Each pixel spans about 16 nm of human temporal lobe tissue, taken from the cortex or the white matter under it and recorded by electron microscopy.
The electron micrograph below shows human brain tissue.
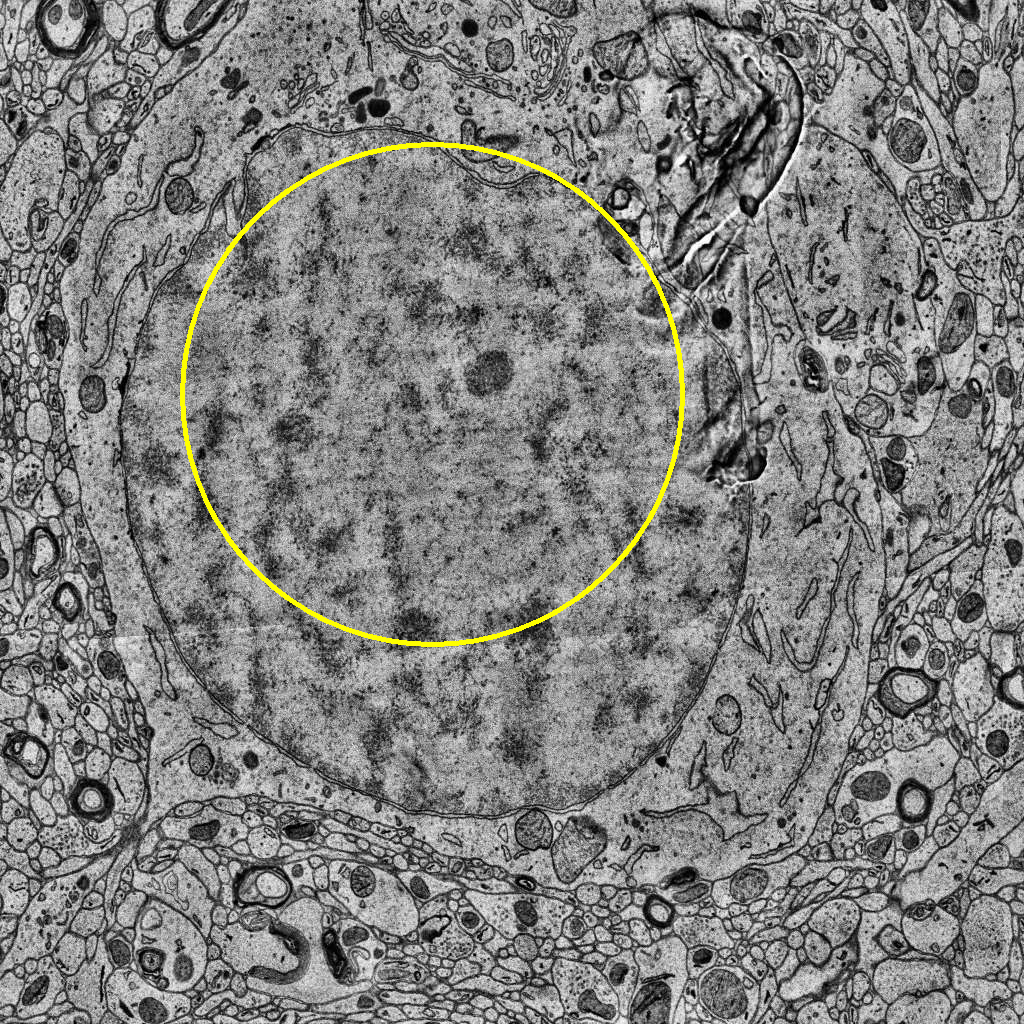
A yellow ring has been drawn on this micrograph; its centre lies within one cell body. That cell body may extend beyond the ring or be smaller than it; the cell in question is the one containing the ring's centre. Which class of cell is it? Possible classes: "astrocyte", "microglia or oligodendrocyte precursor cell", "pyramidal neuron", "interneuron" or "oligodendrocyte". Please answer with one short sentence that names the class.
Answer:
In the centre of the ring sits an interneuron.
